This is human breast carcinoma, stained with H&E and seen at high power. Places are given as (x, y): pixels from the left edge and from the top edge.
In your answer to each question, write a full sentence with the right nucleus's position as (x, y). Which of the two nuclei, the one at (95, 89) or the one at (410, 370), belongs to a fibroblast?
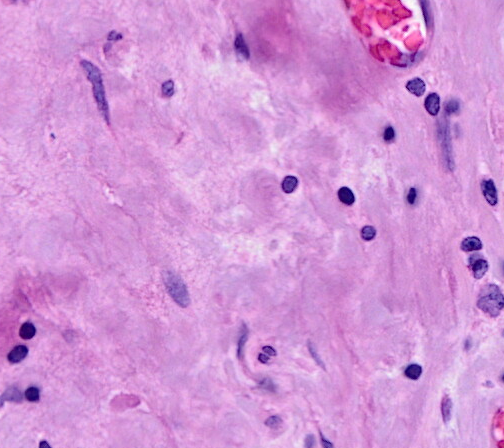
Identified as belonging to a fibroblast is the nucleus at (95, 89).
